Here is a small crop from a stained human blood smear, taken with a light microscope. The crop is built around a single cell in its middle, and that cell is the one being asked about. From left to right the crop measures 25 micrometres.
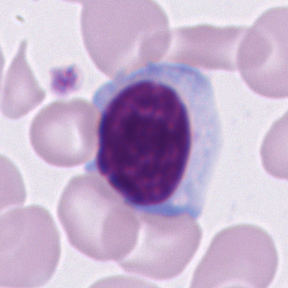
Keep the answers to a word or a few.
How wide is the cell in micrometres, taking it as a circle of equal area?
13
